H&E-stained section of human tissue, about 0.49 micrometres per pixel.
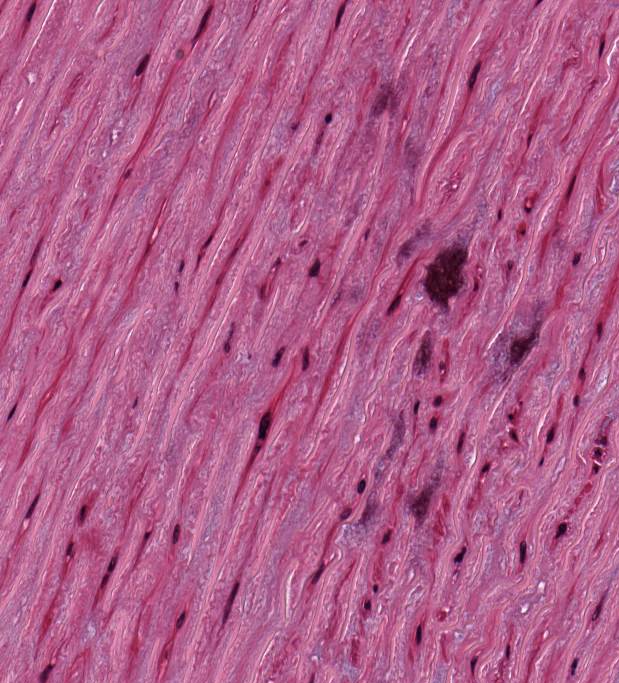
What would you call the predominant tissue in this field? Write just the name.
tunica media of an artery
